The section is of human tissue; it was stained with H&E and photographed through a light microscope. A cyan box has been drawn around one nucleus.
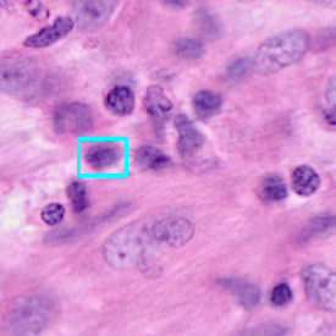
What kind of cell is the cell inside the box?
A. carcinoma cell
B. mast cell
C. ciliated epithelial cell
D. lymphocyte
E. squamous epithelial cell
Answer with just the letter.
D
